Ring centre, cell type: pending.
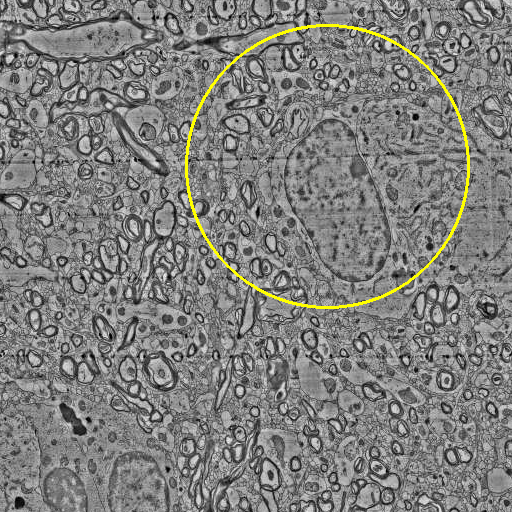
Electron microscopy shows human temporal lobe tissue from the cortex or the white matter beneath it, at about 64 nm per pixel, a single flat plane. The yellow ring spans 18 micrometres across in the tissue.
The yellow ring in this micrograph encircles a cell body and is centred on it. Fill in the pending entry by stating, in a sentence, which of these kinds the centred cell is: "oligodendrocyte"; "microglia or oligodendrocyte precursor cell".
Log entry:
The centred cell is recorded as a microglial cell or oligodendrocyte precursor cell.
